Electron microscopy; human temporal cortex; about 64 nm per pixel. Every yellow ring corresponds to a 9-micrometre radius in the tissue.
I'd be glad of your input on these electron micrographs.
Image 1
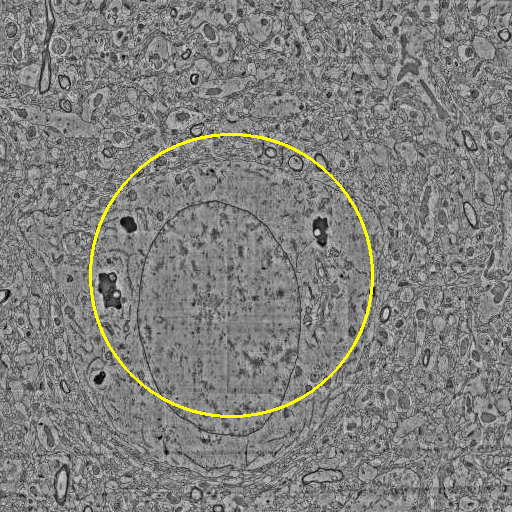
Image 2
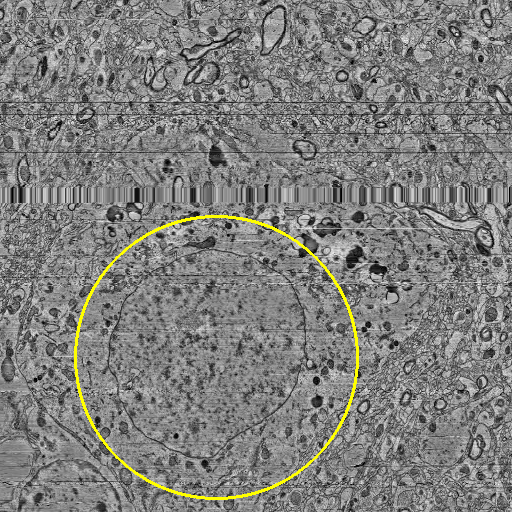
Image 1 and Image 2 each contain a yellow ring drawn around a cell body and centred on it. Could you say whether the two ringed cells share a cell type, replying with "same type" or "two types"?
same type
